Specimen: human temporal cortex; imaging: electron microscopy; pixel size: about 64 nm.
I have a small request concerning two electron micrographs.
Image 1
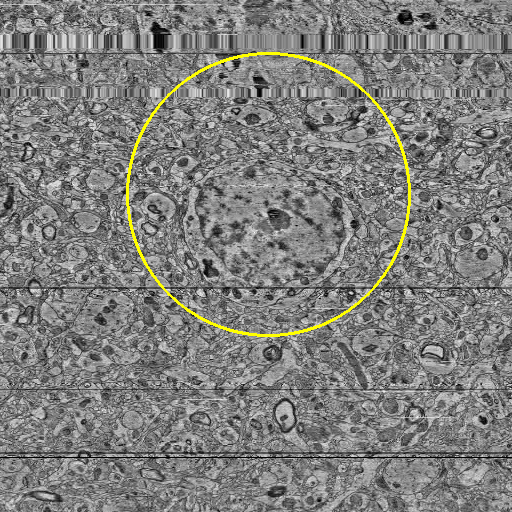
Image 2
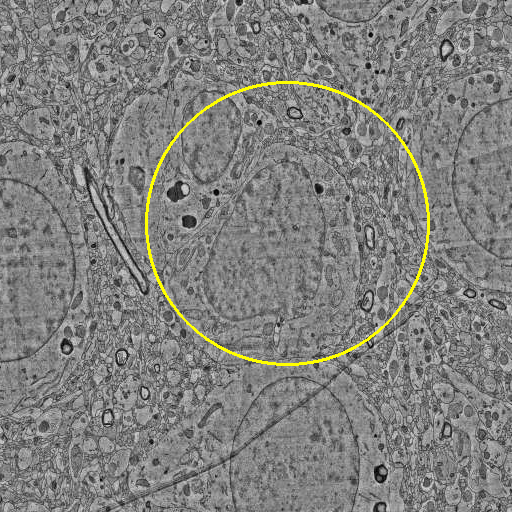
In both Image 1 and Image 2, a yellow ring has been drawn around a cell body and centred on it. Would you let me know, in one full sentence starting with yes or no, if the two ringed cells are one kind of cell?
Yes, the cells ringed in Image 1 and Image 2 are one kind of cell.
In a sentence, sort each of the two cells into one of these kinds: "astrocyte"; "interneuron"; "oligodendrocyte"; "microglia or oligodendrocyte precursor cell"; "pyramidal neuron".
Both cells are the same kind, each one being an interneuron.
